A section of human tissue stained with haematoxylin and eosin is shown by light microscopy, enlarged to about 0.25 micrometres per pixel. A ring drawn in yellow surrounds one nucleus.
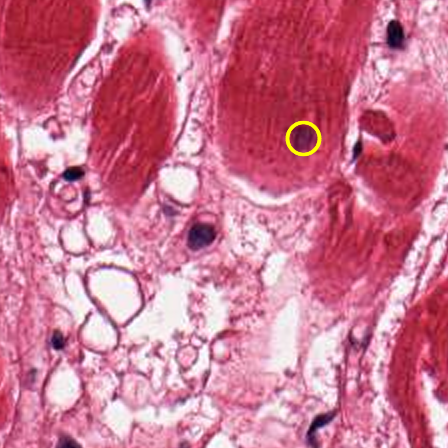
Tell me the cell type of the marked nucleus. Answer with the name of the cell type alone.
cardiomyocyte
